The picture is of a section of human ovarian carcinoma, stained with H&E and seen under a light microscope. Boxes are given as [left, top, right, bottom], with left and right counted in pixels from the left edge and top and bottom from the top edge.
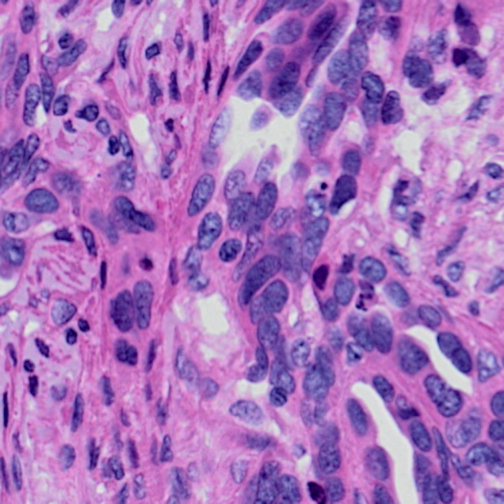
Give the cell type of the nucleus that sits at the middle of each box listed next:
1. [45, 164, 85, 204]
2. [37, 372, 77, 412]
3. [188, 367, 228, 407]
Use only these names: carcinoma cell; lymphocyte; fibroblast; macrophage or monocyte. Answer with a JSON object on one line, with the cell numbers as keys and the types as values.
{"1": "carcinoma cell", "2": "fibroblast", "3": "fibroblast"}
